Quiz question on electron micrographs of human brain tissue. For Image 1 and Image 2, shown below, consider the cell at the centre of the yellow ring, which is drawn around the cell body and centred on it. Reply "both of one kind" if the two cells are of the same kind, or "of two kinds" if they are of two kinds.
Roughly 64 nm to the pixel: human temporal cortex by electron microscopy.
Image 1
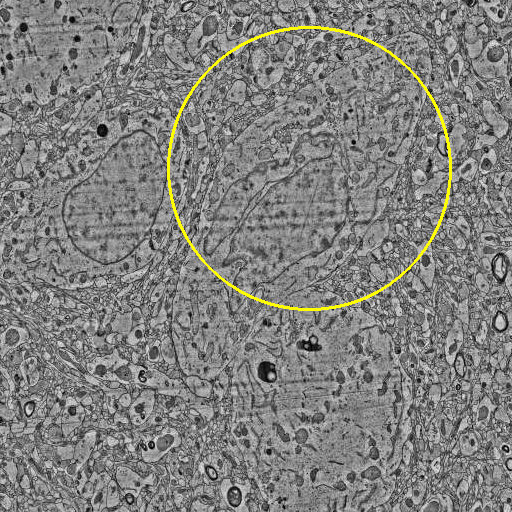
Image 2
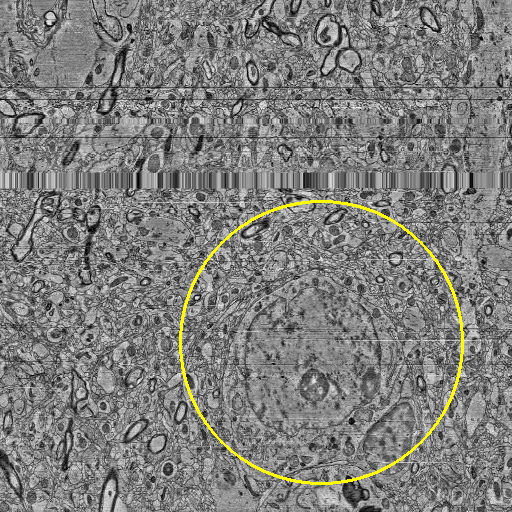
both of one kind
